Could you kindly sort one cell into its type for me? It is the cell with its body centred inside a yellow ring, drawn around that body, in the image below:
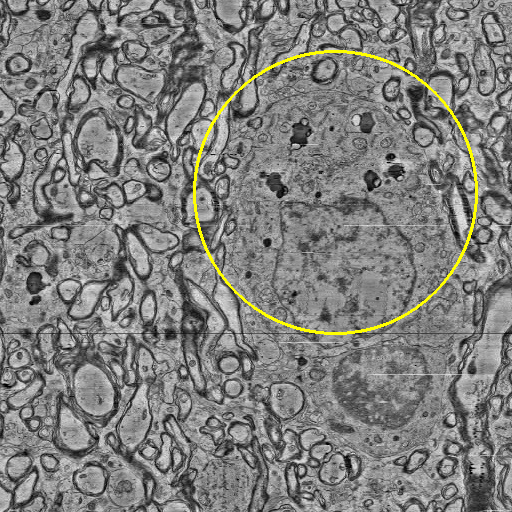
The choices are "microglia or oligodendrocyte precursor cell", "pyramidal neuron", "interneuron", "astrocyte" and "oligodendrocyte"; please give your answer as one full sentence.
The cell whose body lies centred in the yellow ring here is a pyramidal neuron.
